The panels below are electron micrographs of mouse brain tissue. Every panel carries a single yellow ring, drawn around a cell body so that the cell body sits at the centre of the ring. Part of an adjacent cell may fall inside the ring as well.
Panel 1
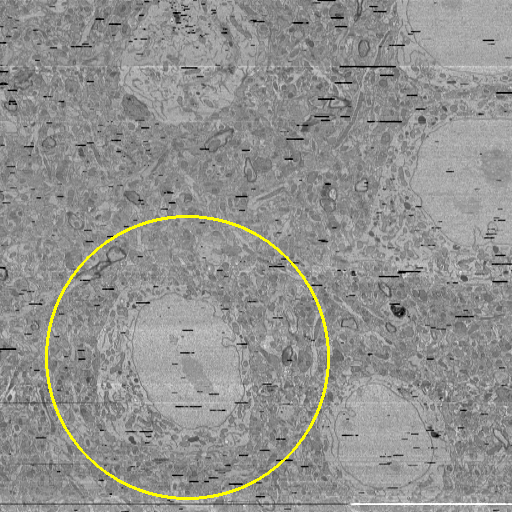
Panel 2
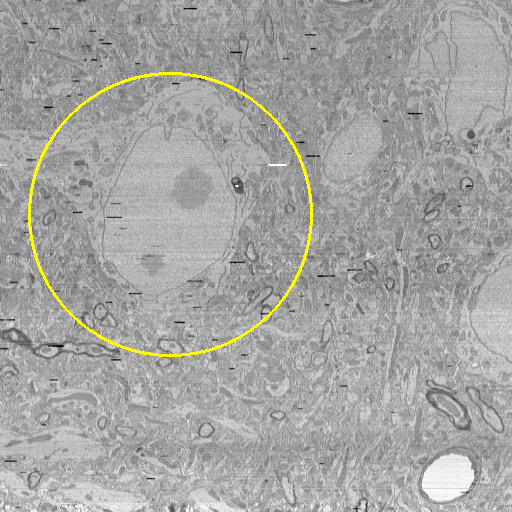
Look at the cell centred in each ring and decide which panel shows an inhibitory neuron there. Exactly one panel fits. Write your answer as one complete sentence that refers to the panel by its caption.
Panel 1 has it at the centre of its ring.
